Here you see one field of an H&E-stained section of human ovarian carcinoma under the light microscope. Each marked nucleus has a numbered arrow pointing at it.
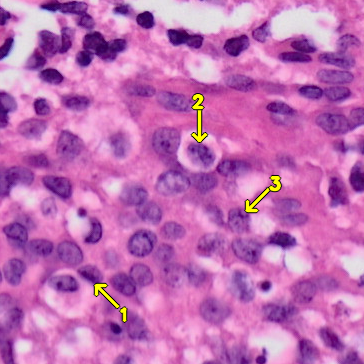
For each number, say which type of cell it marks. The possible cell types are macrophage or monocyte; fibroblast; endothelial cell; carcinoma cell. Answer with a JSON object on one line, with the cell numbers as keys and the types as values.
{"1": "carcinoma cell", "2": "macrophage or monocyte", "3": "carcinoma cell"}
